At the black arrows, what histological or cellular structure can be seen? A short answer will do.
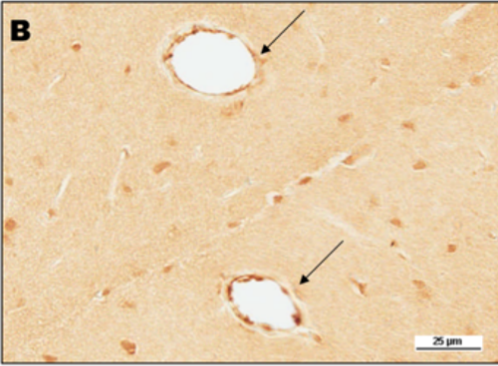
Brain parenchymal vessels.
